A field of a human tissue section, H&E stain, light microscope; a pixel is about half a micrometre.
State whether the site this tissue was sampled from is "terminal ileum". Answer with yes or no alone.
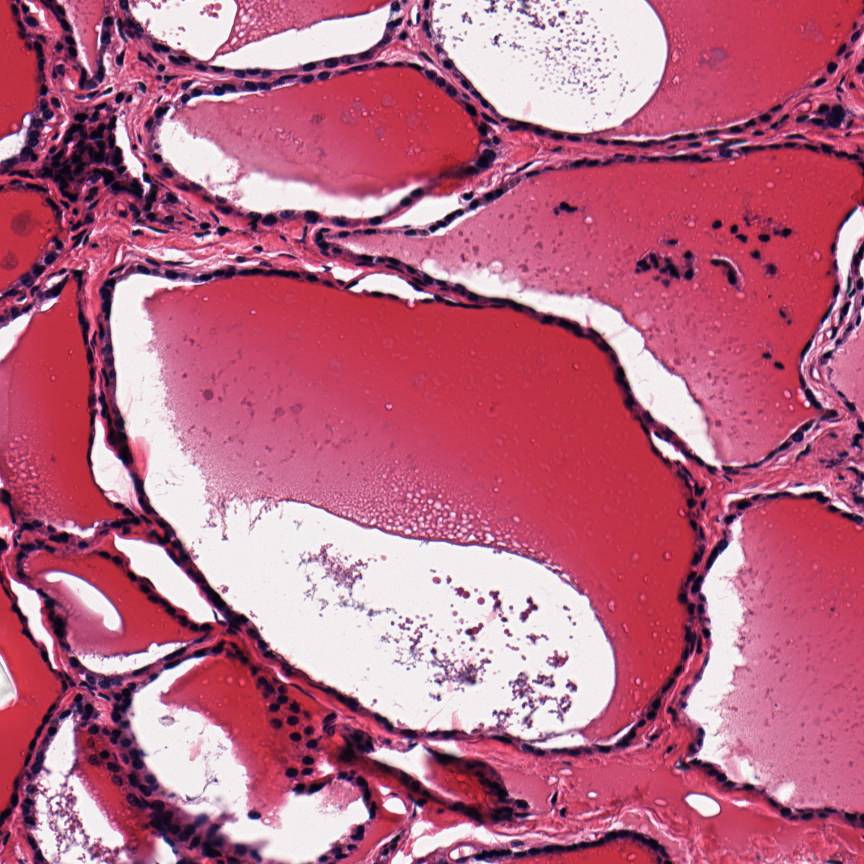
no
